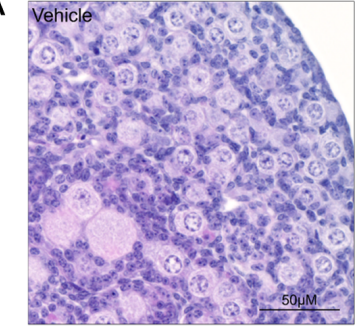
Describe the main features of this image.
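Section of ovary near its outer edge, showing many small follicles: large round cells with pale pink cytoplasm and a round pale nucleus with a dark dot inside, each surrounded by a thin ring of small flattened cells with dark purple nuclei. The follicles are packed closely among tissue crowded with small dark-purple nuclei, and a few larger pale round cells lie side by side at the lower left.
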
